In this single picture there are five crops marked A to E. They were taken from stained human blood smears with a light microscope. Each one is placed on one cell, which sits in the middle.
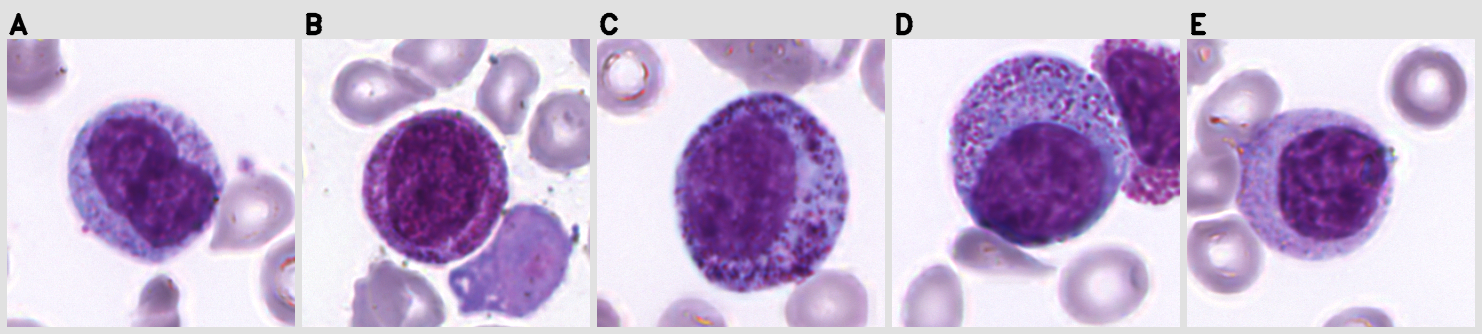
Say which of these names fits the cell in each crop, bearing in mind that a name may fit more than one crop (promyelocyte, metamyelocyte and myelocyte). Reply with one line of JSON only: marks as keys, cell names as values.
{"A": "metamyelocyte", "B": "myelocyte", "C": "promyelocyte", "D": "promyelocyte", "E": "myelocyte"}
